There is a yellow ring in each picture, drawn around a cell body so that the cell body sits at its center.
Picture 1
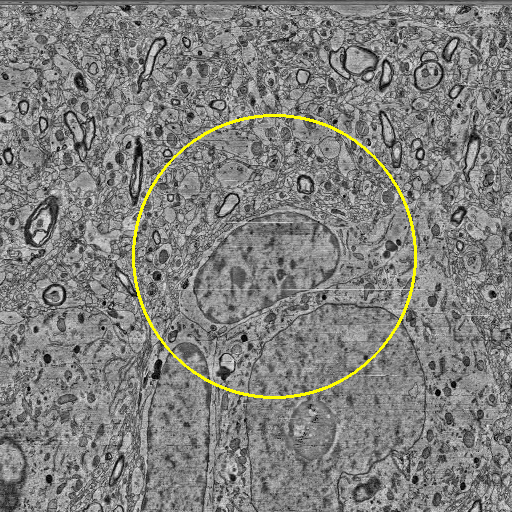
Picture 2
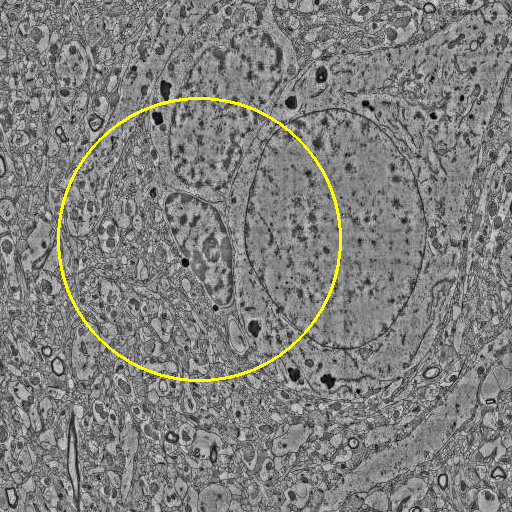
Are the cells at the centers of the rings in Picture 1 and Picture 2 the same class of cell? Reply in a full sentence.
Yes, the two cells are the same class of cell.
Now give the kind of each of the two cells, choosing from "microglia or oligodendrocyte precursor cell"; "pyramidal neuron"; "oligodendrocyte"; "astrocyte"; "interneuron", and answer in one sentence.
Each of the two pictures has a microglial cell or oligodendrocyte precursor cell at the ring centre.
